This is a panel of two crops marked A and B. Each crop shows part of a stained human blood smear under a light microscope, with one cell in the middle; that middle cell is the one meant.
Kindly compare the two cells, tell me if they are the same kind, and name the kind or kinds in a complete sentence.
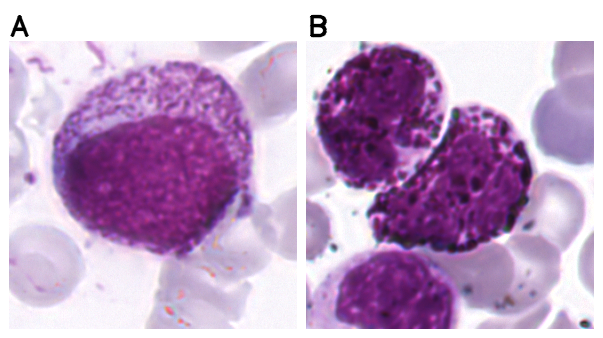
No, crop A holds a promyelocyte, and a basophil occupies crop B.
